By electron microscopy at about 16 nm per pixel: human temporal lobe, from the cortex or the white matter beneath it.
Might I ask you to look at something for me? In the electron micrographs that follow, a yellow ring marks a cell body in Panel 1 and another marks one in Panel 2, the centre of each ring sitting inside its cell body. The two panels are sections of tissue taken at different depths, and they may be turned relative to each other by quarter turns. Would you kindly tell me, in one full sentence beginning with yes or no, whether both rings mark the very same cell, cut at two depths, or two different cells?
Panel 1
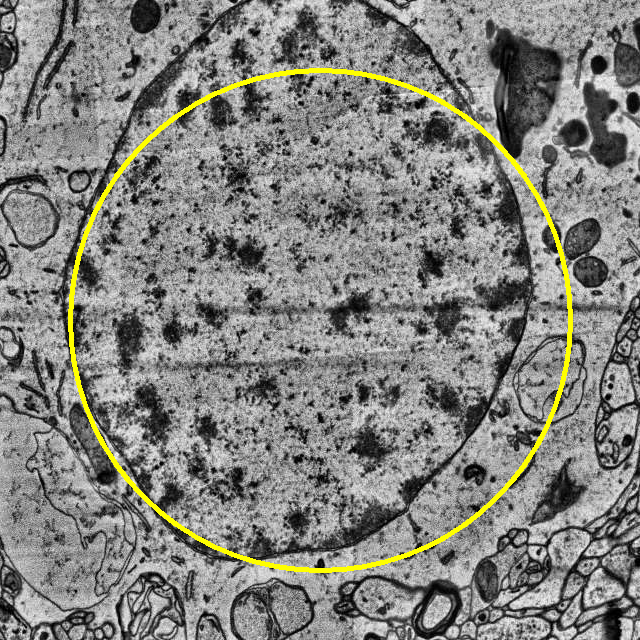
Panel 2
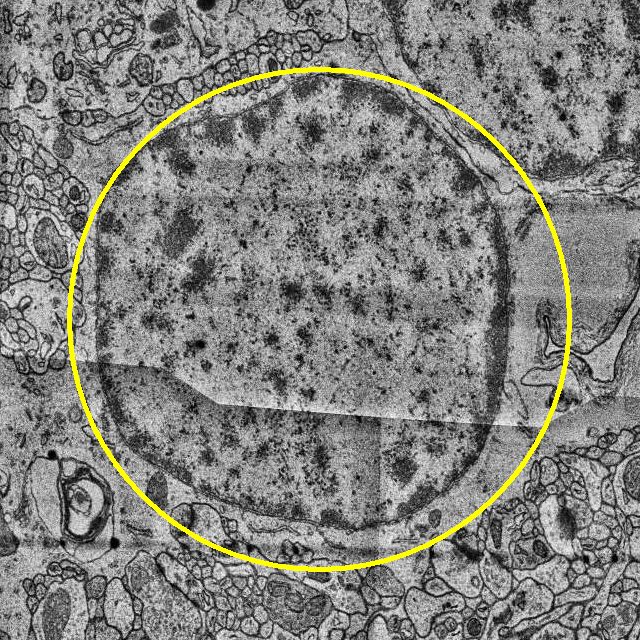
No, the two rings indicate two different cells, not one.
